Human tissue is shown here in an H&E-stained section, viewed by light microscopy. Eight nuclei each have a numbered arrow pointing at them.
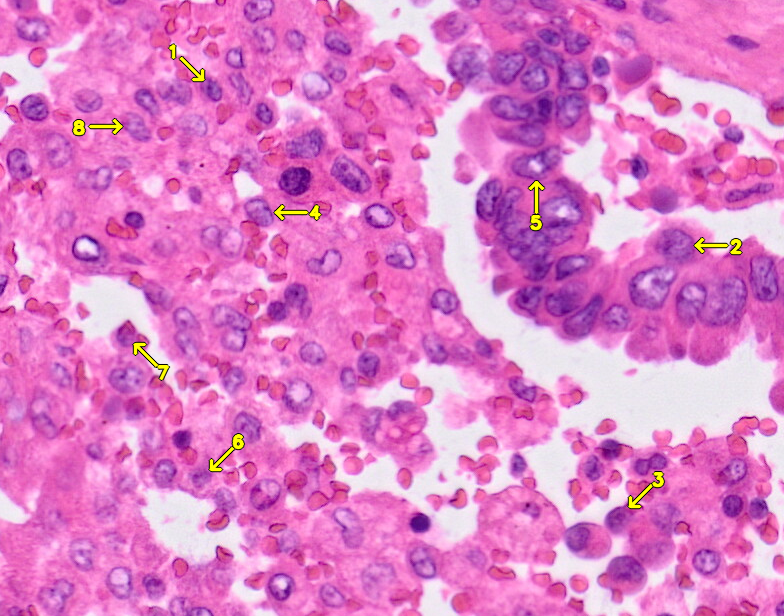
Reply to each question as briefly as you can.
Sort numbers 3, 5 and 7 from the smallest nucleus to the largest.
7, 3, 5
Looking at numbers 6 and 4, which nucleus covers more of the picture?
4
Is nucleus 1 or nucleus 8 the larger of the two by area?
8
